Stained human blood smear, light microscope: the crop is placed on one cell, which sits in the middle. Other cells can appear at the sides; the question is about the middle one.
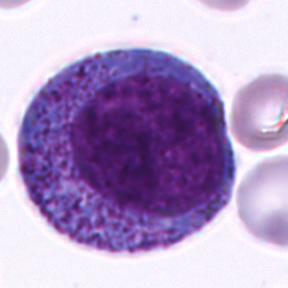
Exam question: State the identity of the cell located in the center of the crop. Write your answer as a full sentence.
The centered cell in this crop is a promyelocyte.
